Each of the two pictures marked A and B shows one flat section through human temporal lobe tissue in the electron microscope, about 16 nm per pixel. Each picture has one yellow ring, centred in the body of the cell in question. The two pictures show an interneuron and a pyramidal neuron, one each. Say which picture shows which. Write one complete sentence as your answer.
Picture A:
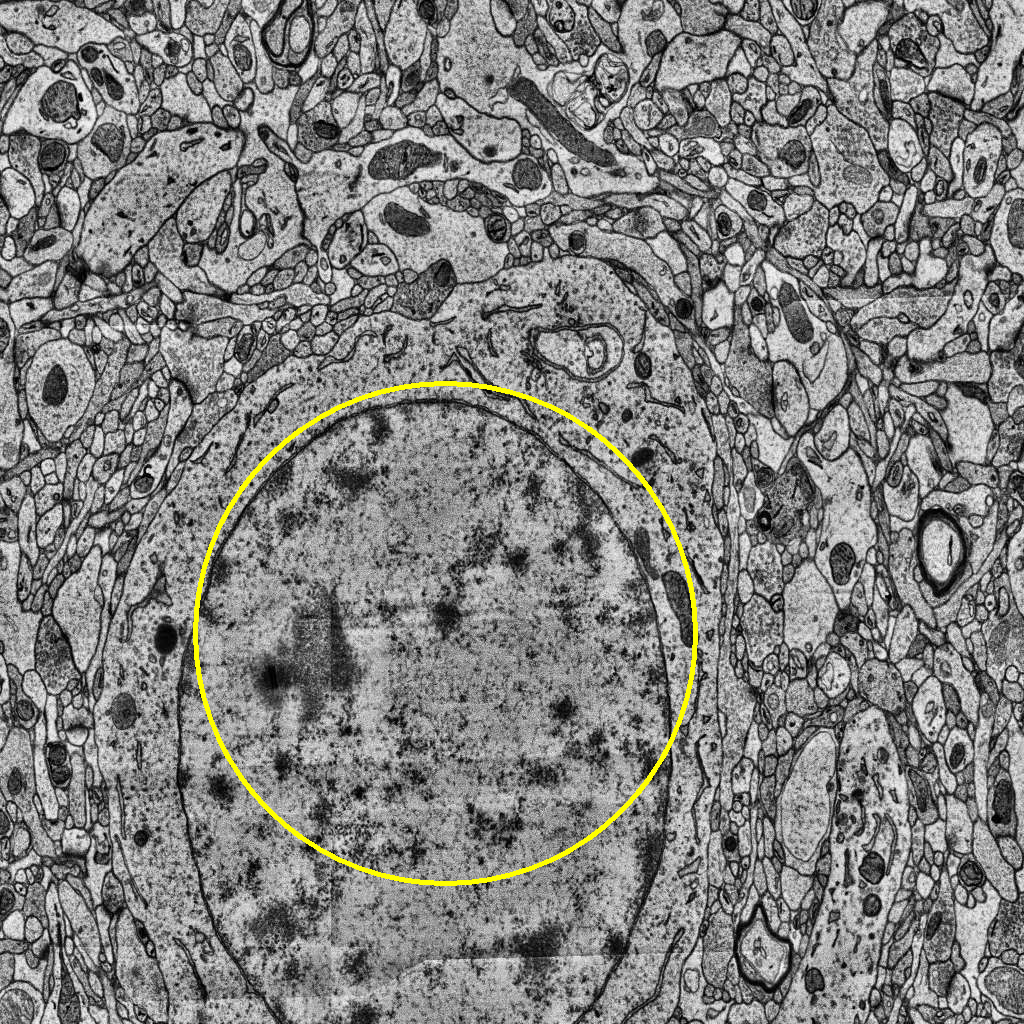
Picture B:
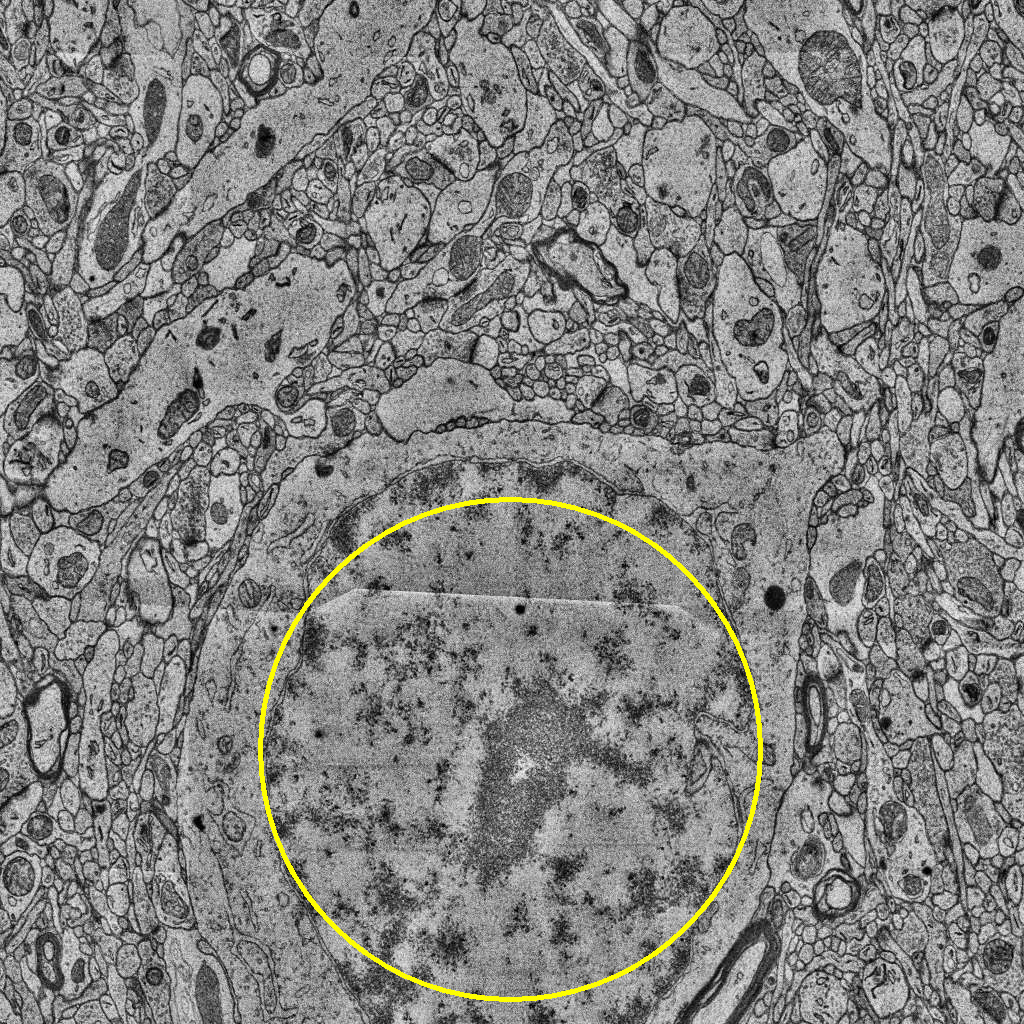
Picture A shows a pyramidal neuron and picture B shows an interneuron.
